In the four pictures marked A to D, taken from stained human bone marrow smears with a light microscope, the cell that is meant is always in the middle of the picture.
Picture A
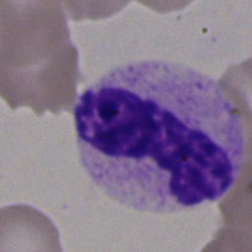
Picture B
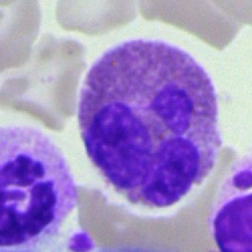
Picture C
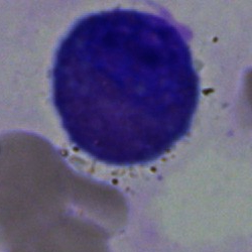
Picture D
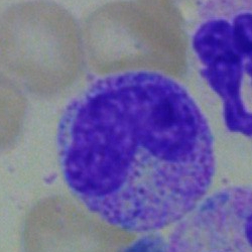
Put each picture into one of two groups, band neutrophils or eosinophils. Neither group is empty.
A: band neutrophil
B: eosinophil
C: eosinophil
D: band neutrophil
